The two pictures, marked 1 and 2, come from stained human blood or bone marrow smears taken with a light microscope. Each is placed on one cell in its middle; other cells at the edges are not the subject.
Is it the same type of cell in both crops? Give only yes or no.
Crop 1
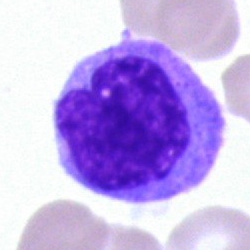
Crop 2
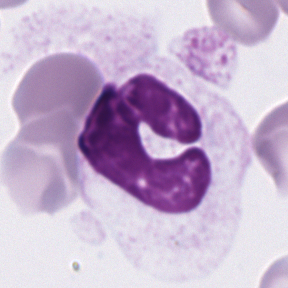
no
